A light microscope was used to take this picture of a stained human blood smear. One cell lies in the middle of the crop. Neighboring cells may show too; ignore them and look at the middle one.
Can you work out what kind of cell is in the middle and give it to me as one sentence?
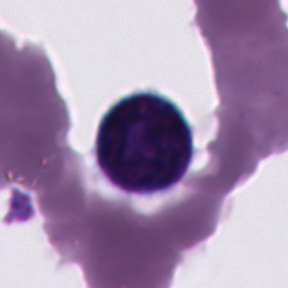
The cell featured at the centre of this crop is a hairy cell.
